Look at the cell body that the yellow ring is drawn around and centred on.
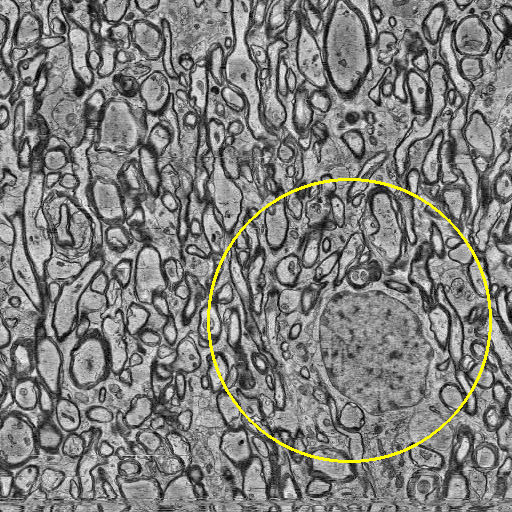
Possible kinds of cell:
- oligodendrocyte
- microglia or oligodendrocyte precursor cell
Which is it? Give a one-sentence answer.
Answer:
The centred cell body is that of a microglial cell or oligodendrocyte precursor cell.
